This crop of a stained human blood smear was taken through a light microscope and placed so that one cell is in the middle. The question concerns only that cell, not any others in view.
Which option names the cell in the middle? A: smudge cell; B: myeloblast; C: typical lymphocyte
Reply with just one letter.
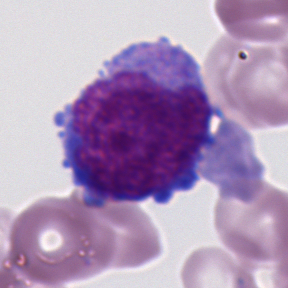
B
